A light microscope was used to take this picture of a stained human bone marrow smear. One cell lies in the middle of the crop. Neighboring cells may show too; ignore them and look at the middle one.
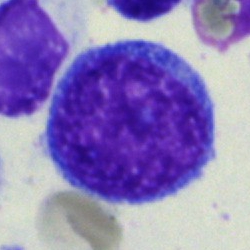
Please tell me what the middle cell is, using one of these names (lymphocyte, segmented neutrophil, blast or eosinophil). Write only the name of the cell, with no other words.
blast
